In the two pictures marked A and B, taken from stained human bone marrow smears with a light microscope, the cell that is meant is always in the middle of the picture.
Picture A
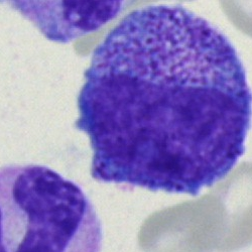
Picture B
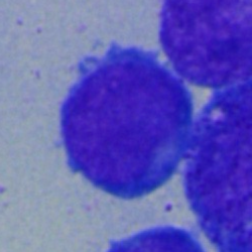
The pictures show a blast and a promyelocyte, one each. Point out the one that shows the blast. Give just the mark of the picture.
B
